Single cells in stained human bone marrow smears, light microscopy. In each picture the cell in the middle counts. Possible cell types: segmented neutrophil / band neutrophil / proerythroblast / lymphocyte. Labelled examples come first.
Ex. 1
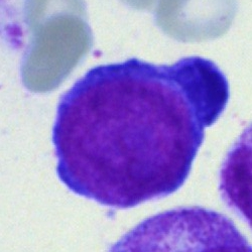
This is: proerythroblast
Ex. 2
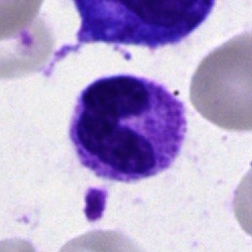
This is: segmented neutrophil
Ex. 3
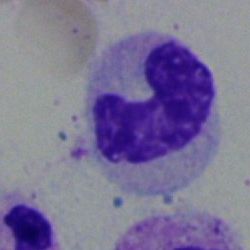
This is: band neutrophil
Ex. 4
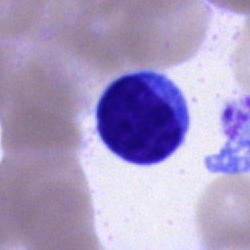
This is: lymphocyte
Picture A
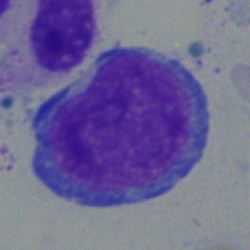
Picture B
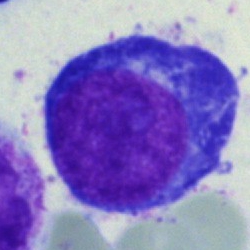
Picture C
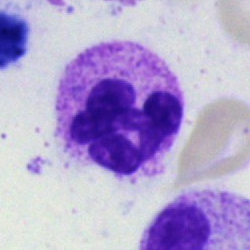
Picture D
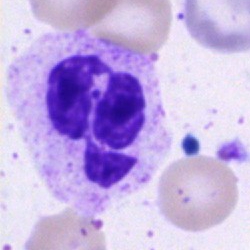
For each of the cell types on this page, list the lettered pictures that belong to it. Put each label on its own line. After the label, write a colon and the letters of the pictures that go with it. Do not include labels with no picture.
segmented neutrophil: C, D
proerythroblast: A, B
